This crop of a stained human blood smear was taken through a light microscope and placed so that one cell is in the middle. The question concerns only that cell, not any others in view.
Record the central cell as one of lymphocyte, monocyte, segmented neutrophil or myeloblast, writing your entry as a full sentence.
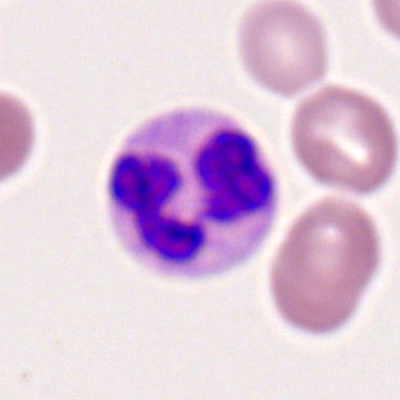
The central cell, amid any neighbouring cells, is a segmented neutrophil.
